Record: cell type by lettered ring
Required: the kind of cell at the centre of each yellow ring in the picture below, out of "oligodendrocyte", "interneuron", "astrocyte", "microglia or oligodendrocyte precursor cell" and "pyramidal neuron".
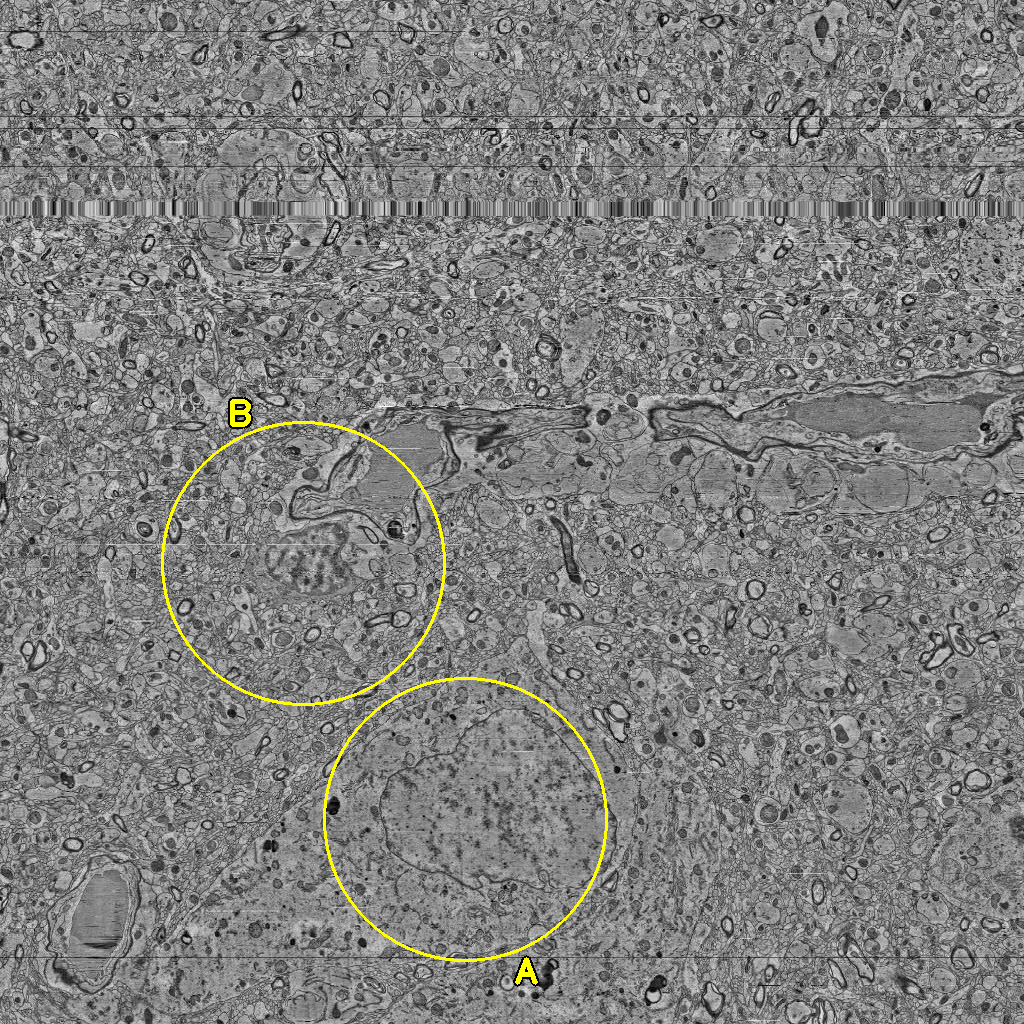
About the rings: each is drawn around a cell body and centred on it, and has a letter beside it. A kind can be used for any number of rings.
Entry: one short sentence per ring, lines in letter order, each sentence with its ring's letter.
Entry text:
At ring A we have a pyramidal neuron.
At ring B we have an oligodendrocyte.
